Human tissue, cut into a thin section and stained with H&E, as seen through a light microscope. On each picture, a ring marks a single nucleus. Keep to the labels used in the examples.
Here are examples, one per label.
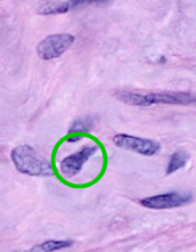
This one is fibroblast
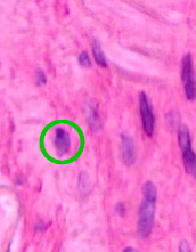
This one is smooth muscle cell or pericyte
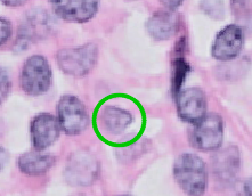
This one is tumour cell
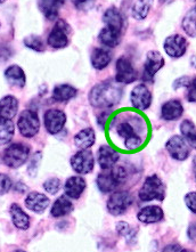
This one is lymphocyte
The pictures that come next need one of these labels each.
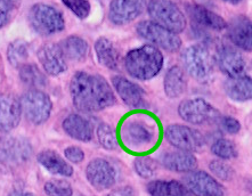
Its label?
tumour cell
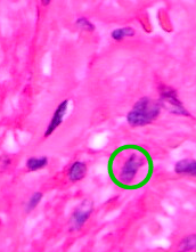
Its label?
smooth muscle cell or pericyte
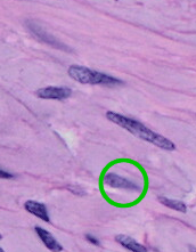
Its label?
fibroblast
